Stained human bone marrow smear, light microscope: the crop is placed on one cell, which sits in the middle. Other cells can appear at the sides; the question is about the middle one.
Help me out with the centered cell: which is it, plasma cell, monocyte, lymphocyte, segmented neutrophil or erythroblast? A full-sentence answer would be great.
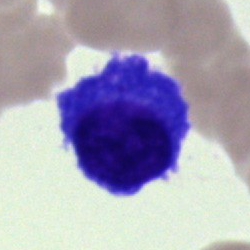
This crop's central cell is a plasma cell.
